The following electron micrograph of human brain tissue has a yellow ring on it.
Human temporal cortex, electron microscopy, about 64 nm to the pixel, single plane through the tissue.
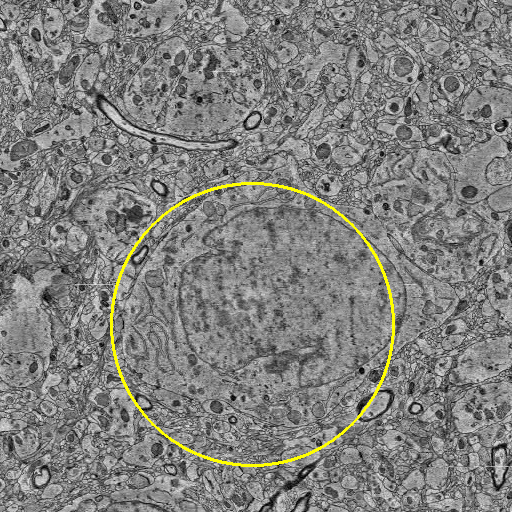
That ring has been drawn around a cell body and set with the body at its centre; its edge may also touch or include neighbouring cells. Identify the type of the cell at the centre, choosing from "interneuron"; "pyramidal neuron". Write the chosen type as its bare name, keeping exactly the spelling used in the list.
interneuron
